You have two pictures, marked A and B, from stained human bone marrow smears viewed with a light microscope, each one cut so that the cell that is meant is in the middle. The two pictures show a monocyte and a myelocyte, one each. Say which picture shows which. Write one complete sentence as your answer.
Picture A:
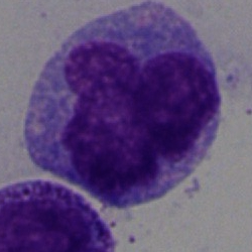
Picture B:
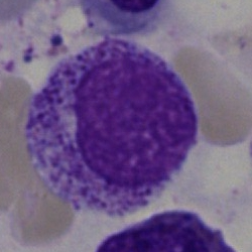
Picture B shows a myelocyte, while picture A shows a monocyte.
